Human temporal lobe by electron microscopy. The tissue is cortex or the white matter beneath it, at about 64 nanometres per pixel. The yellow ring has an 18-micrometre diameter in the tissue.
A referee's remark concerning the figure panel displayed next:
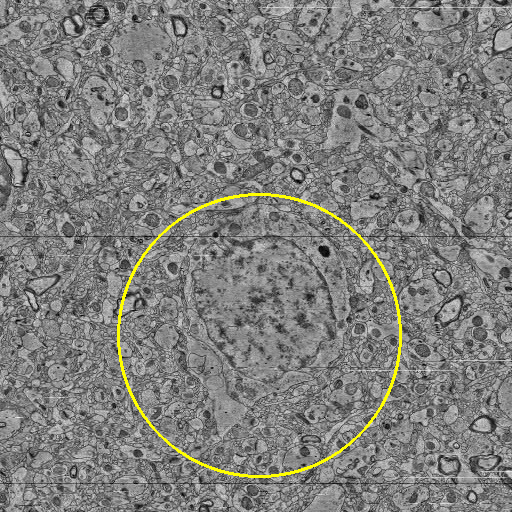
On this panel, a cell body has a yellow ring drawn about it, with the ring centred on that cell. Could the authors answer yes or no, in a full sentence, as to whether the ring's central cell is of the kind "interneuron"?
Yes, the cell sitting at the middle of the ring on this panel belongs to that kind.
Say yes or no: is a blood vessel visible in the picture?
No, there is no blood vessel in the image.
